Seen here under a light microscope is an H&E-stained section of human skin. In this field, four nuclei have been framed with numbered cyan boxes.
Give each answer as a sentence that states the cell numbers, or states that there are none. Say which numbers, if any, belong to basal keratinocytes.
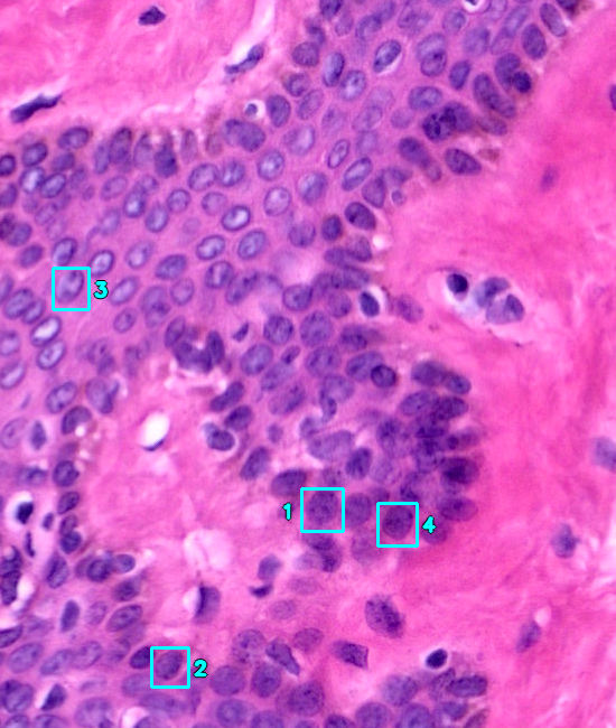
The cells tagged with numbers 1, 2 and 4 are basal keratinocytes.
